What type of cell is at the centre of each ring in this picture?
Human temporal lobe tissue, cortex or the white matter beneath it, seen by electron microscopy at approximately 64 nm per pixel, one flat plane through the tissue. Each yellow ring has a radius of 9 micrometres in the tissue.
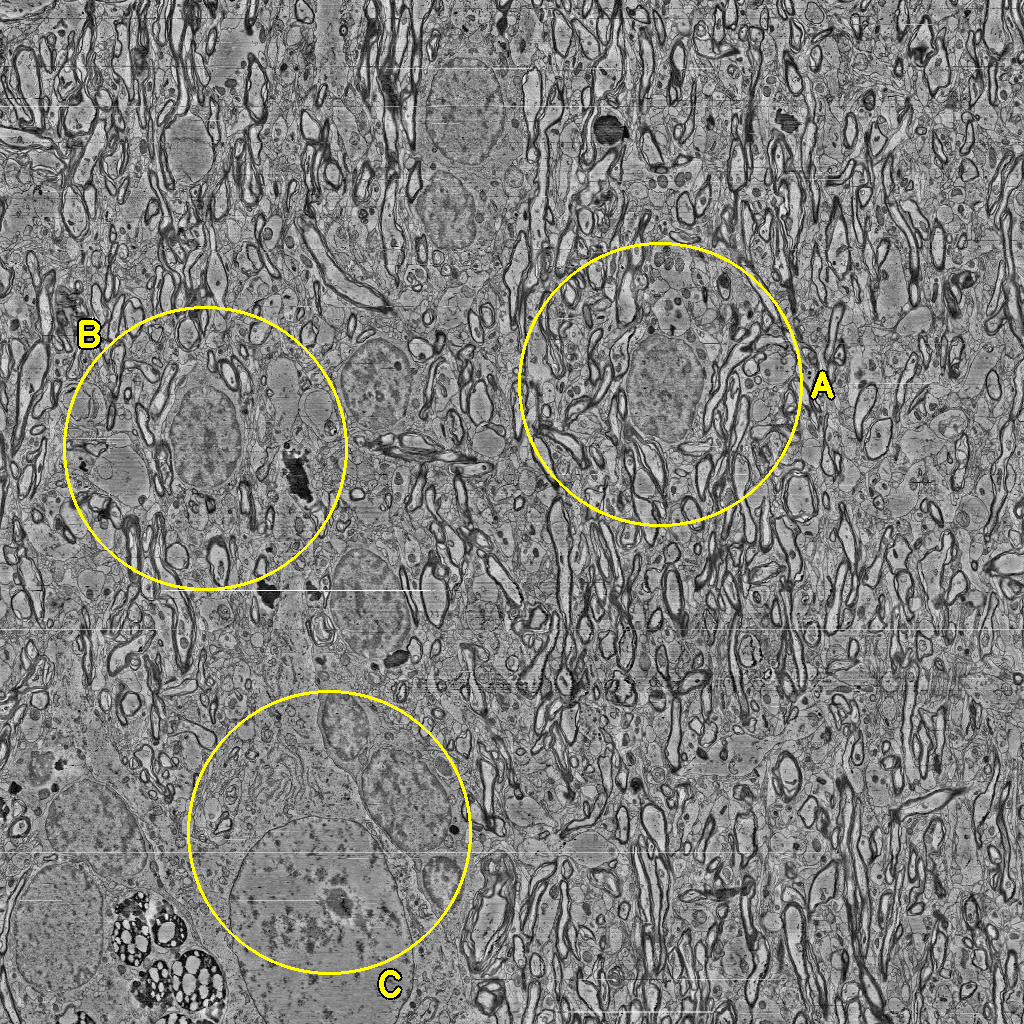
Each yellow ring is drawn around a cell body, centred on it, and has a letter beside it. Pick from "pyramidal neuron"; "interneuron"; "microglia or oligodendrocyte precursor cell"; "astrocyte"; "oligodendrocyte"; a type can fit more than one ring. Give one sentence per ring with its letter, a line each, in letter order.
The ring marked A is centred on an oligodendrocyte.
The ring marked B is centred on an oligodendrocyte.
The ring marked C is centred on a pyramidal neuron.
